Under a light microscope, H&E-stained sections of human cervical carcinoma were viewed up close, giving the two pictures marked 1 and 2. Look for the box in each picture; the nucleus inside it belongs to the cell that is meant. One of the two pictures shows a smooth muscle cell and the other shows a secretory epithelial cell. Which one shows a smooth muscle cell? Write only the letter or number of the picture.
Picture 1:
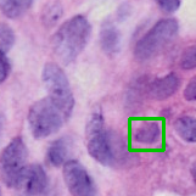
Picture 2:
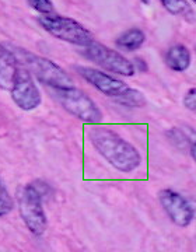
2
